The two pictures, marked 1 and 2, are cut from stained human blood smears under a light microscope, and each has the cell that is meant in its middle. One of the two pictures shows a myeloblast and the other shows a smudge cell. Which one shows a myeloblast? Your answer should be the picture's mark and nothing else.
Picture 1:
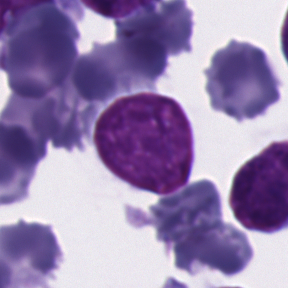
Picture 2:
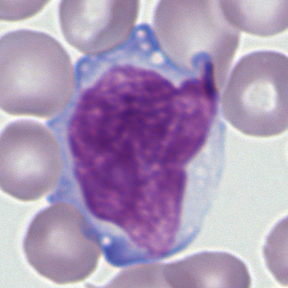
2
